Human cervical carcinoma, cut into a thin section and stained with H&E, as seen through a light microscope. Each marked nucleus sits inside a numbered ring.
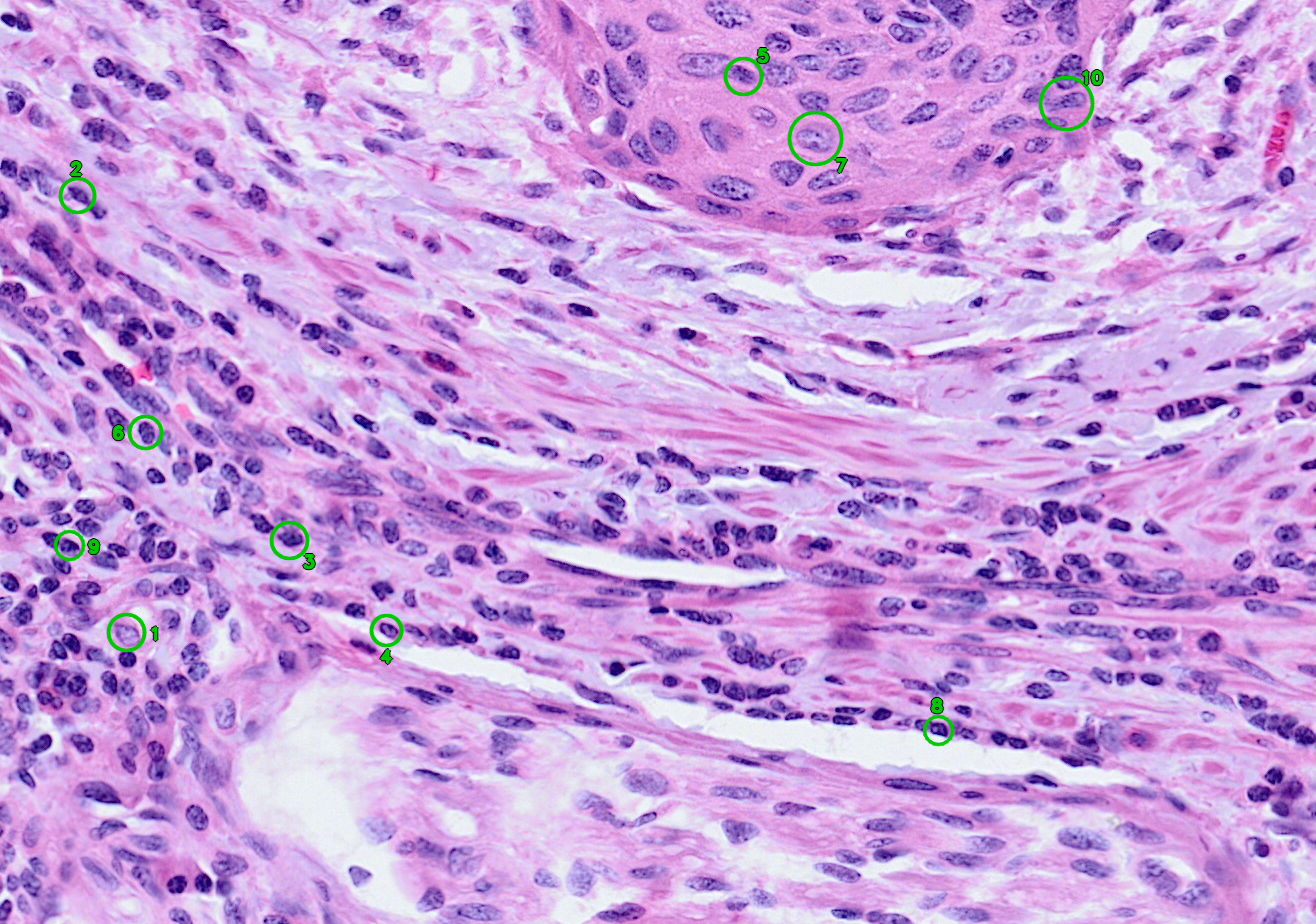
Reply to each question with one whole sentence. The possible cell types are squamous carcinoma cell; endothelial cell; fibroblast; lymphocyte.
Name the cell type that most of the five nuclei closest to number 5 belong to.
Squamous carcinoma cells account for more than half of the five nuclei nearest to number 5.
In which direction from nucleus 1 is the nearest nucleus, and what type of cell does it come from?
Lying below nucleus 1, the nearest nucleus is that of a lymphocyte.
